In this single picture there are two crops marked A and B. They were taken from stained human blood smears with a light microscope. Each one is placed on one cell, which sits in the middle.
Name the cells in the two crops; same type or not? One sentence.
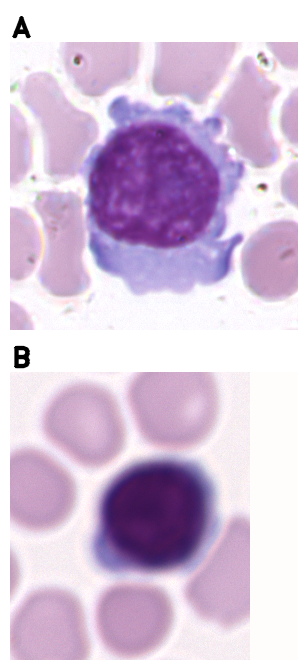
No, crop A is where a plasma cell is shown, and crop B is where a typical lymphocyte is shown.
